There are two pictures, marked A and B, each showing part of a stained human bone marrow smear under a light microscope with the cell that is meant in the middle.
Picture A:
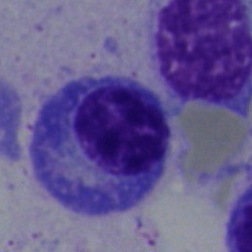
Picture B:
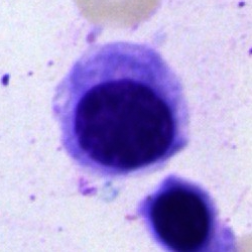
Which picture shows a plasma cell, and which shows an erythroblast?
A: plasma cell
B: erythroblast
